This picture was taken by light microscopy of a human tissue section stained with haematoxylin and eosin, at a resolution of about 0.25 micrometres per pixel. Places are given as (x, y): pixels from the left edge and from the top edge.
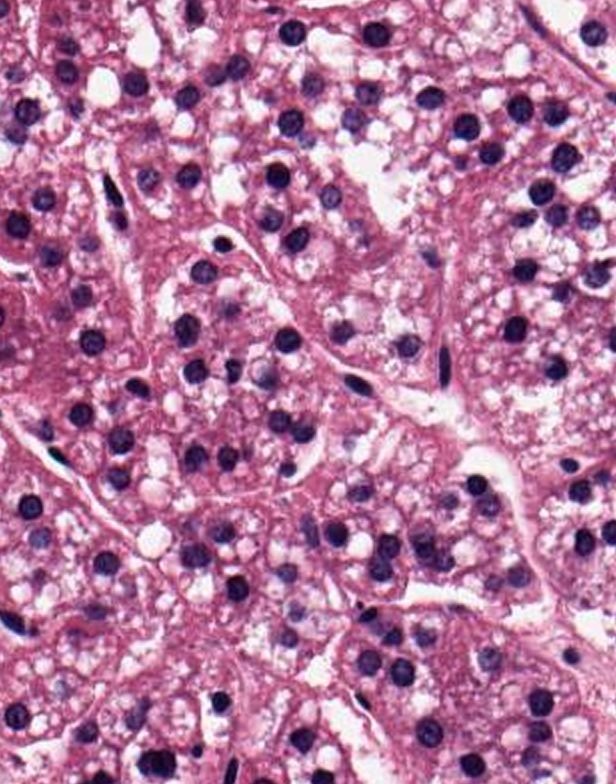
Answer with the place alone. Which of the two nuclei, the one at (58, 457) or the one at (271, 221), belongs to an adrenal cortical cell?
(271, 221)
